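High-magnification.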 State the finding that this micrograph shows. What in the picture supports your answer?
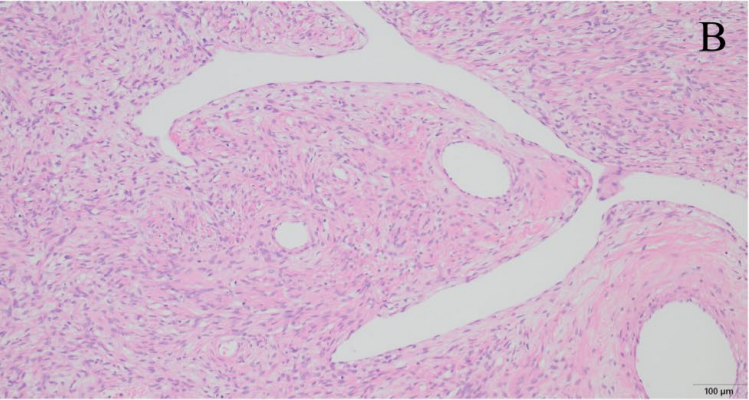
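Bland spindle cells in a pink collagenous stroma. Thin-walled branching, gaping vessels. Thick hyalinized collagen around some vessels. On this evidence: benign solitary fibrous tumor.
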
